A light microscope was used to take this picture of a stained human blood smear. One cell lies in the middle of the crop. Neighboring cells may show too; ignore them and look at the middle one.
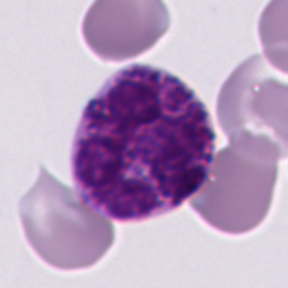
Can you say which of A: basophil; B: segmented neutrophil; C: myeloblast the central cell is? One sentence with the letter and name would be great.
Option A correctly names the cell in the middle as a basophil.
